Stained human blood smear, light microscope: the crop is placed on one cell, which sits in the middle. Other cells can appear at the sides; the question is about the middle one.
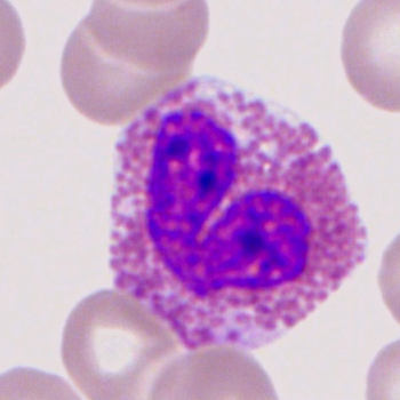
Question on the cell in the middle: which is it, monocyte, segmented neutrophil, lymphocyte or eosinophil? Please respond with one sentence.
At the center of the crop sits an eosinophil.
